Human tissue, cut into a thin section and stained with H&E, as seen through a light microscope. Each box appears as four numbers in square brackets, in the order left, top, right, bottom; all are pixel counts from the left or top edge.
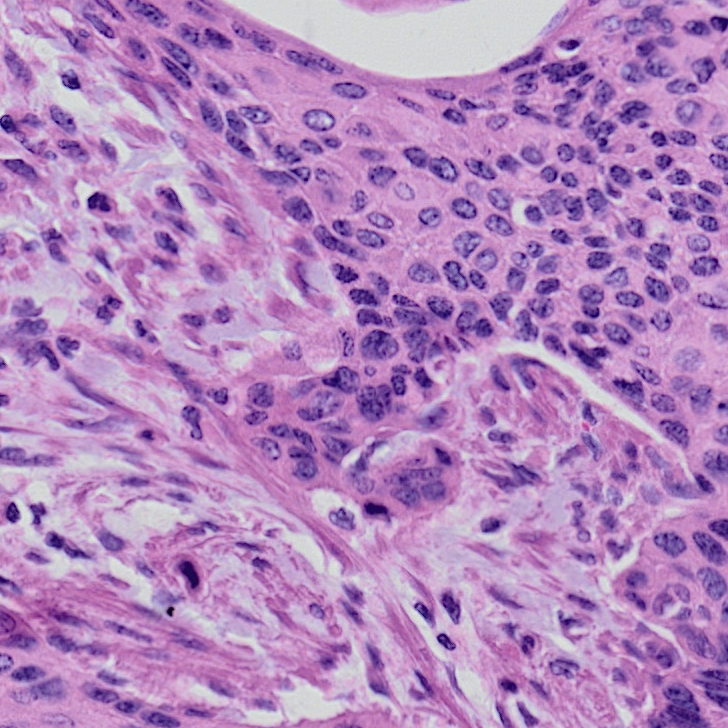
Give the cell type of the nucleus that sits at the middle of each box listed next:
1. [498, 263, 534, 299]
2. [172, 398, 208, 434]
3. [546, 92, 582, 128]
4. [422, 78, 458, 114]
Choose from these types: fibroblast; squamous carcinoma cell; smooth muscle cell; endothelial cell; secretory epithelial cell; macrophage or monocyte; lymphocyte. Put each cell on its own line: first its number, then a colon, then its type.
1: squamous carcinoma cell
2: lymphocyte
3: squamous carcinoma cell
4: squamous carcinoma cell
